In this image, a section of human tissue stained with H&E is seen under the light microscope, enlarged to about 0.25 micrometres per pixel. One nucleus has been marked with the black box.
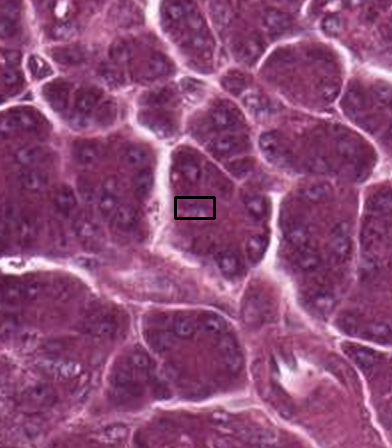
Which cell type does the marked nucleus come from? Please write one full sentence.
The marked nucleus is the nucleus of a pancreatic acinar cell.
